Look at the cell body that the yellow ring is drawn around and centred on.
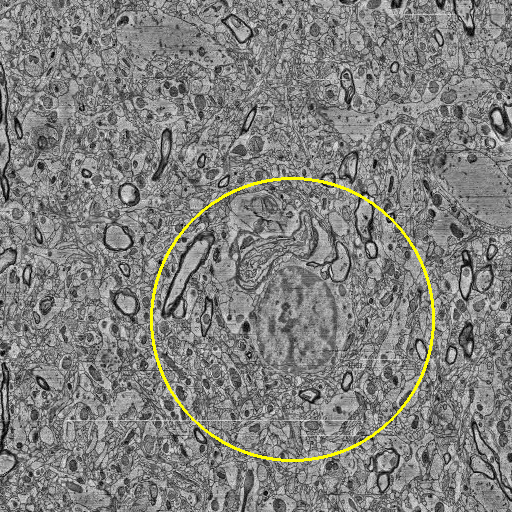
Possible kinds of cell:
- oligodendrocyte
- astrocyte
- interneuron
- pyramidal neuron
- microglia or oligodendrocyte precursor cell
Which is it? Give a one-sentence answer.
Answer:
The centred cell body is that of an oligodendrocyte.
